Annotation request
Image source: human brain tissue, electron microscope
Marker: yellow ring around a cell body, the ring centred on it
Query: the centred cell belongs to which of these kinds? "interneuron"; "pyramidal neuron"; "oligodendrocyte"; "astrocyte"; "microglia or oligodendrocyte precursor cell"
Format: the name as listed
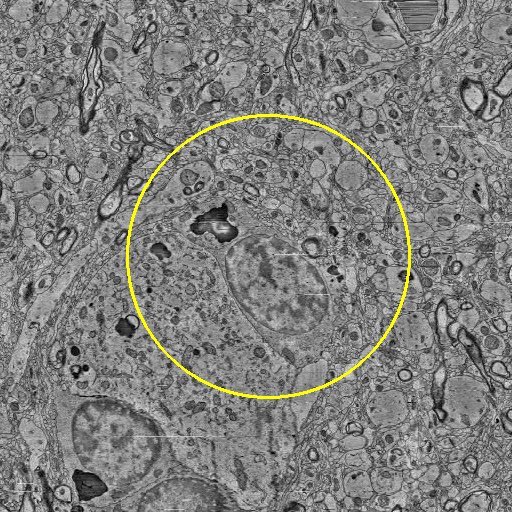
oligodendrocyte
